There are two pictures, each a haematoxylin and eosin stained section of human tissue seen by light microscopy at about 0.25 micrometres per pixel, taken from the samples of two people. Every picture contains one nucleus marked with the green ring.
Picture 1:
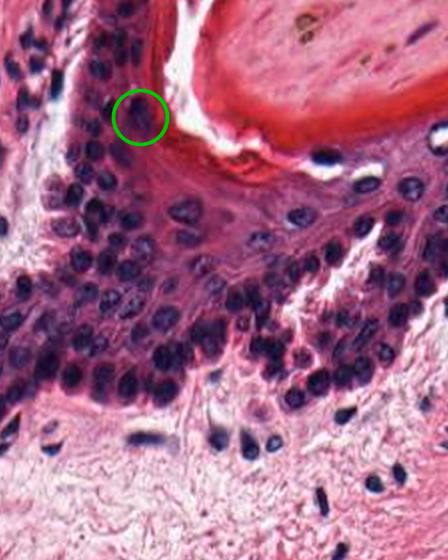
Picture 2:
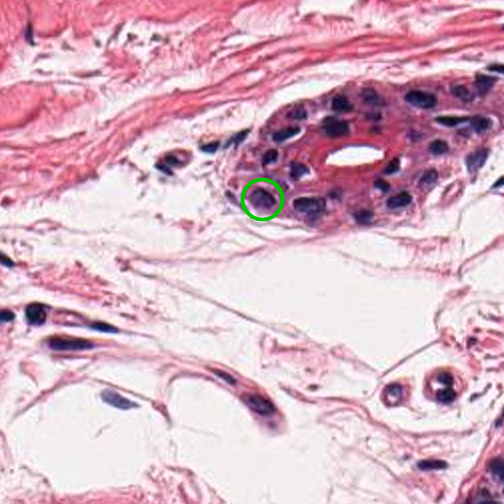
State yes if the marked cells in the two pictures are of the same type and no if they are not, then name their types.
No, the first is a keratinocyte and the second a sweat gland cell.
